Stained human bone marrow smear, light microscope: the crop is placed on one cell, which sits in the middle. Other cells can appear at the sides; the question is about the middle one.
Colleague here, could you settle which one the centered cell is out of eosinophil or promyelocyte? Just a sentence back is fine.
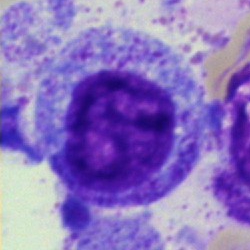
Centrally within this crop lies a promyelocyte.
